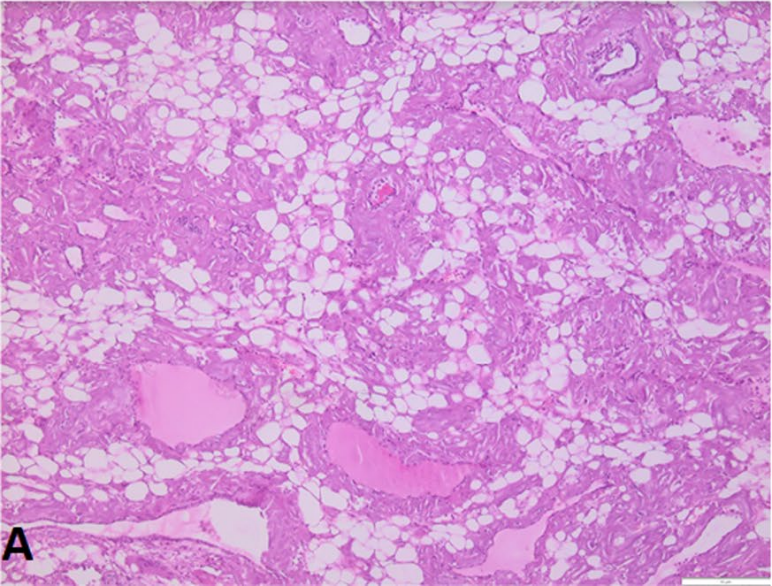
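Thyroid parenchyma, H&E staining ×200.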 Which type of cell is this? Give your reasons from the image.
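Mature adipocytes. Numerous clear rounded vacuole-like spaces in clusters across the section. The clear spaces are scattered between pink amorphous material.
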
